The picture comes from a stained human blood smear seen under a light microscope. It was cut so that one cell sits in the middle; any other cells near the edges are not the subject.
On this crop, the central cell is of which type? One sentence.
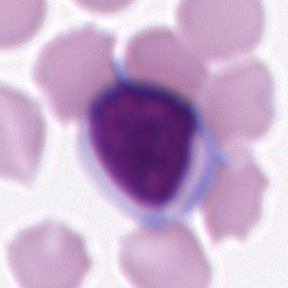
At the middle of the frame sits a typical lymphocyte.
